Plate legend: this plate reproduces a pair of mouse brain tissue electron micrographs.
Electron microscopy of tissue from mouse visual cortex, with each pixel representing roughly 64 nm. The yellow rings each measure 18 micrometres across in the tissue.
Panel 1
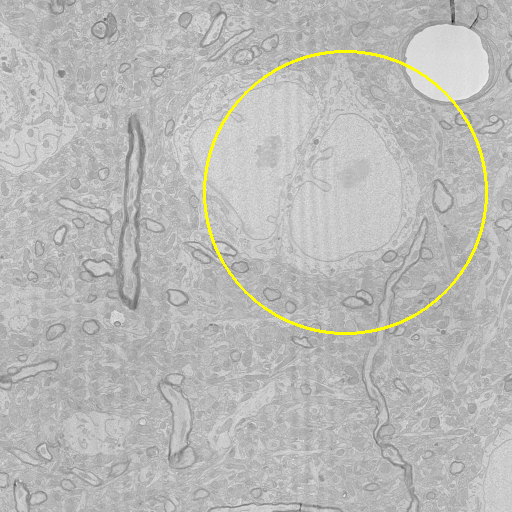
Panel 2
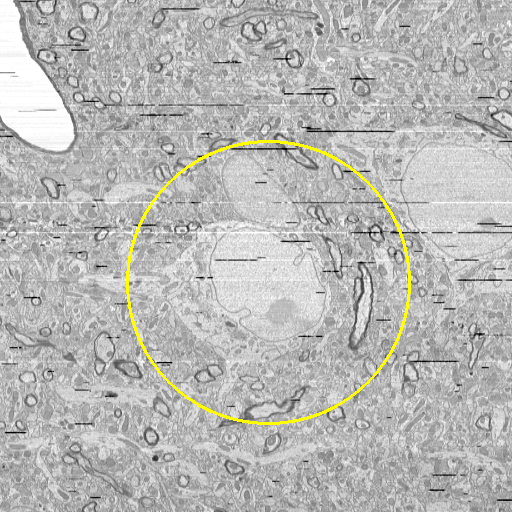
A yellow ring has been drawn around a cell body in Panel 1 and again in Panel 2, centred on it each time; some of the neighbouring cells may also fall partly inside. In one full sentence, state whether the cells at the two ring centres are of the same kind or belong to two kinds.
The ring-centred cells of Panel 1 and Panel 2 are of the same kind.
